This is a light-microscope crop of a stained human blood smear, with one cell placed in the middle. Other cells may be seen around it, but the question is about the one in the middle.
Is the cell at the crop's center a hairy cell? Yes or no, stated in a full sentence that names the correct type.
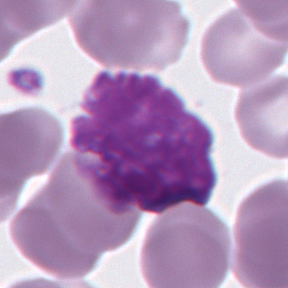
No, what is centred in the crop is not a hairy cell but a smudge cell.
